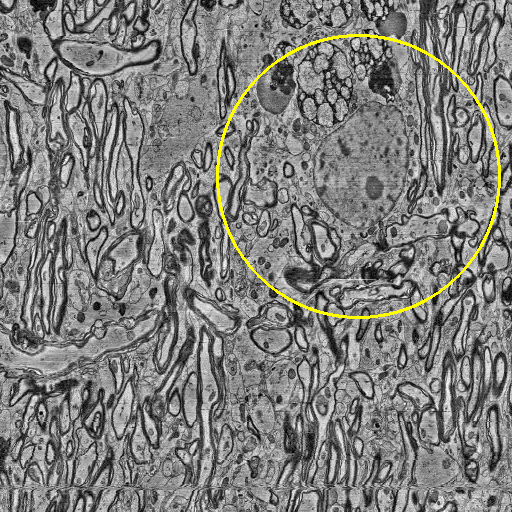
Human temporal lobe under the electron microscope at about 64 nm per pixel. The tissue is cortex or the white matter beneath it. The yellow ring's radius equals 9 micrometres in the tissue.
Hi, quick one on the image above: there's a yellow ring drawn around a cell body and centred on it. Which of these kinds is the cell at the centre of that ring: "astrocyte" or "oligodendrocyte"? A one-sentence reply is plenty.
The cell at the centre of the ring is an astrocyte.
